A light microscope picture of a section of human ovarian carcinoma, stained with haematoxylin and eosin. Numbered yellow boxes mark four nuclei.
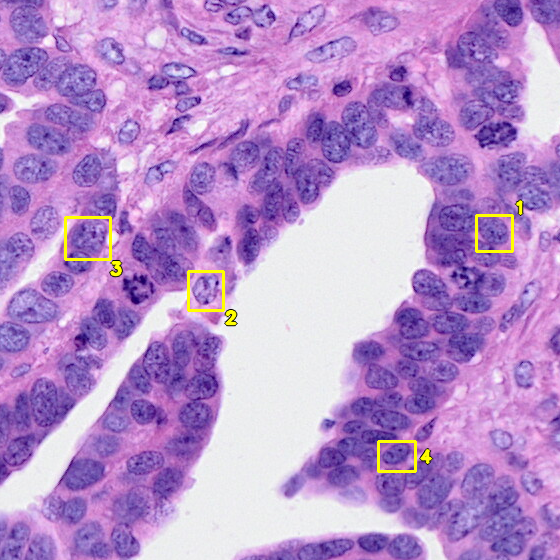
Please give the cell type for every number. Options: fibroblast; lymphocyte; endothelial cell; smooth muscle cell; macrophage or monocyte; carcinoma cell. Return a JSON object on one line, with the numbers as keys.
{"1": "carcinoma cell", "2": "macrophage or monocyte", "3": "carcinoma cell", "4": "carcinoma cell"}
